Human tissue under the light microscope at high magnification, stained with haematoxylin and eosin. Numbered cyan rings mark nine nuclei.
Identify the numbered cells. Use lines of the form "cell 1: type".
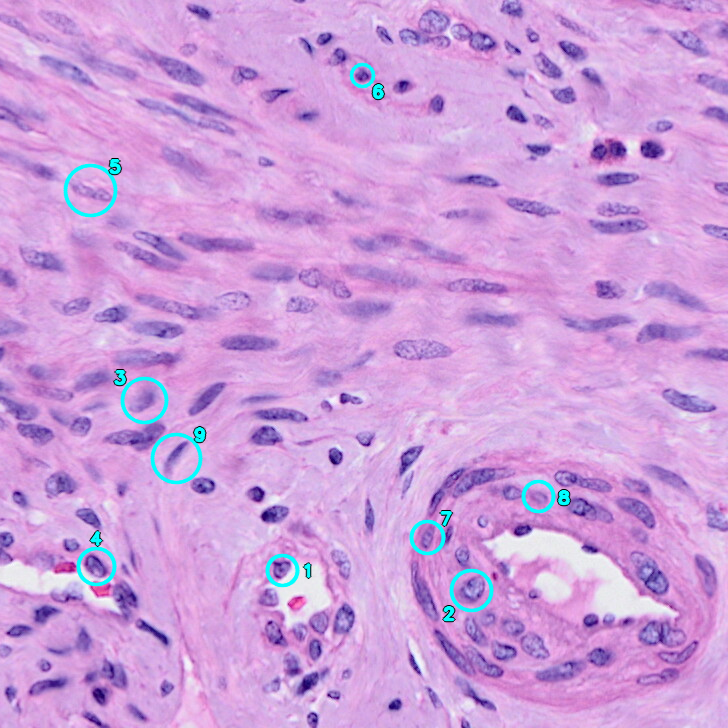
cell 1: endothelial cell
cell 2: smooth muscle cell
cell 3: fibroblast
cell 4: endothelial cell
cell 5: smooth muscle cell
cell 6: smooth muscle cell
cell 7: smooth muscle cell
cell 8: smooth muscle cell
cell 9: fibroblast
